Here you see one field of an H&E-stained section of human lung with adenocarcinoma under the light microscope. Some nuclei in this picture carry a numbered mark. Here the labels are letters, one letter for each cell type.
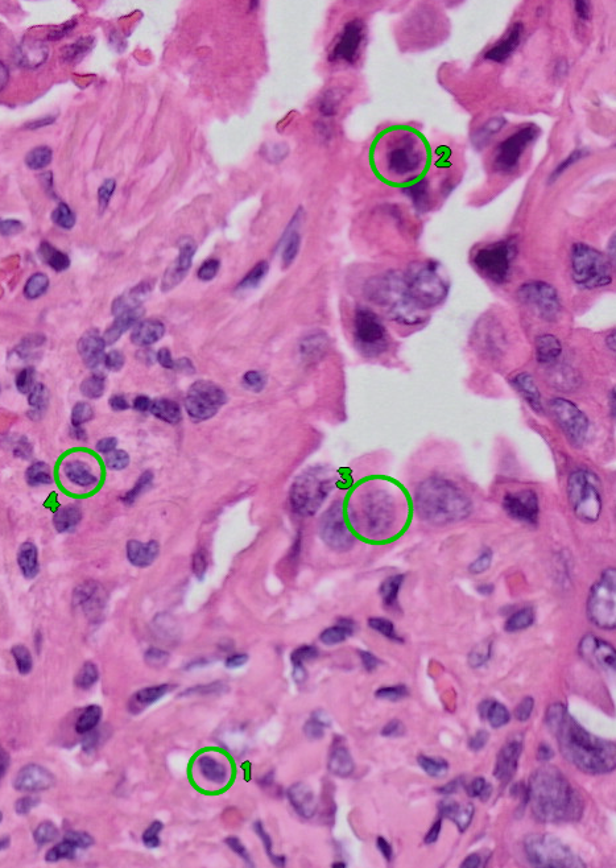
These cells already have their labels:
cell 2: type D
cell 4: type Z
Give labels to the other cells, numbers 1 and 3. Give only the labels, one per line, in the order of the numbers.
type Z
type D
